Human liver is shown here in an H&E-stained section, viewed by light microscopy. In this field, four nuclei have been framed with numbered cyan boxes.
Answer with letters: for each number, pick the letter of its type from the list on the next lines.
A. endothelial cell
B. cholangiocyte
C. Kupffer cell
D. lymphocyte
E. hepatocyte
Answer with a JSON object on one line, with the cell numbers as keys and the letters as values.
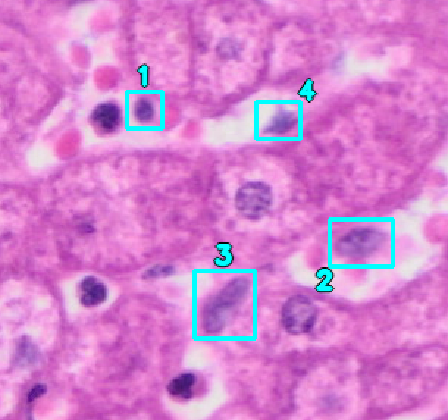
{"1": "D", "2": "C", "3": "C", "4": "A"}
